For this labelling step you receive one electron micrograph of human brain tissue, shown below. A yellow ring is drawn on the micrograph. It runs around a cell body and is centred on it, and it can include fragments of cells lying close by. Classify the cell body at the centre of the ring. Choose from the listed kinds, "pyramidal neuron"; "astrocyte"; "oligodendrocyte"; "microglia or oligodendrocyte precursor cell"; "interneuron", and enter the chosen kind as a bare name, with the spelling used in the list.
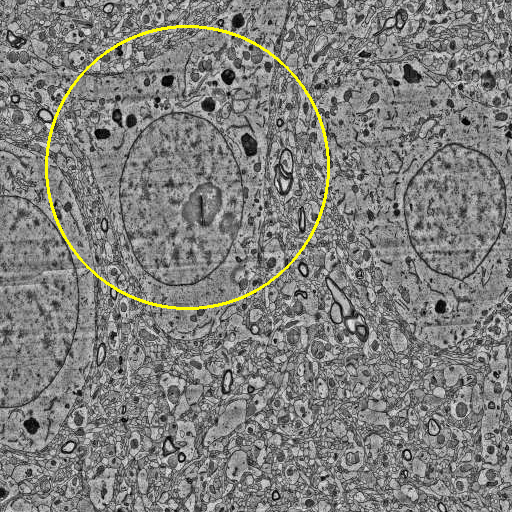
pyramidal neuron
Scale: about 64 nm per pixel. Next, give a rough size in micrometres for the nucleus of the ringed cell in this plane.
In this plane, roughly 11 by 8 micrometres.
